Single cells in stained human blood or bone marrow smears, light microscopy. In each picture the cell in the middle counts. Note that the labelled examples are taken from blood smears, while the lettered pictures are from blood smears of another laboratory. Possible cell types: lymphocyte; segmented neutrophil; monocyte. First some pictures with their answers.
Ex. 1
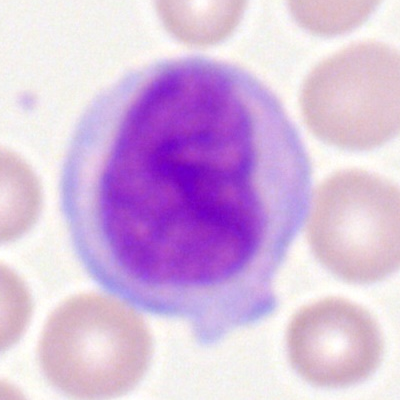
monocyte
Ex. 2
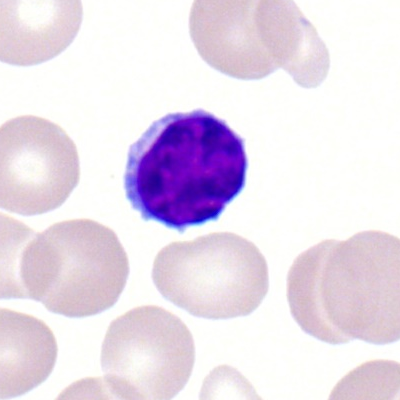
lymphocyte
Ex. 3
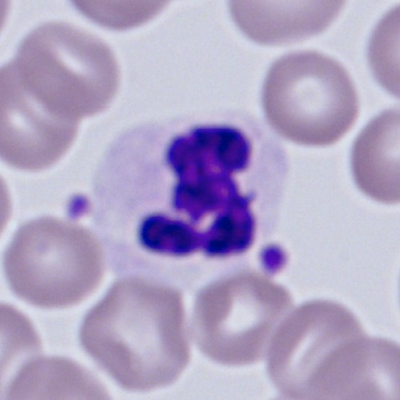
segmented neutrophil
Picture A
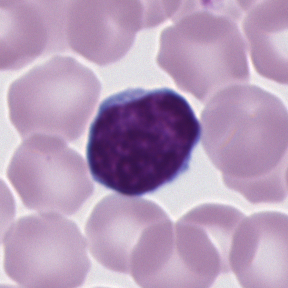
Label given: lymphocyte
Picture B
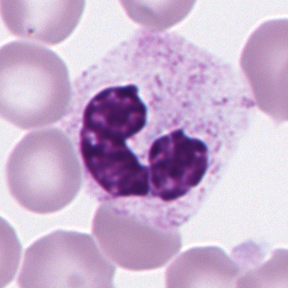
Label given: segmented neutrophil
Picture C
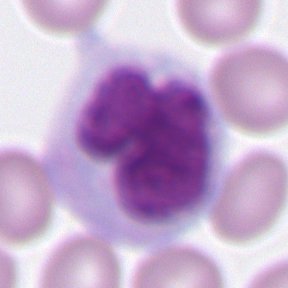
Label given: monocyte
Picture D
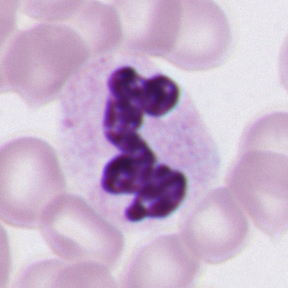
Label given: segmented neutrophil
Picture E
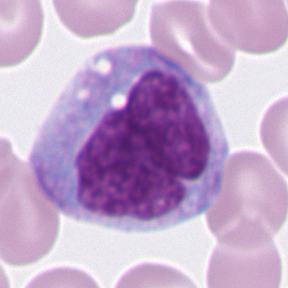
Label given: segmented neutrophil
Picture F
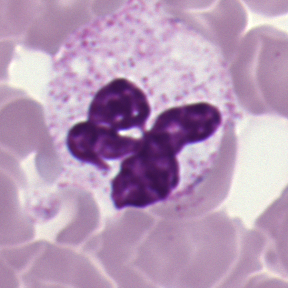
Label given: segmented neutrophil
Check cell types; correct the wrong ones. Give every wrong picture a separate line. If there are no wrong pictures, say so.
E should be monocyte, not segmented neutrophil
